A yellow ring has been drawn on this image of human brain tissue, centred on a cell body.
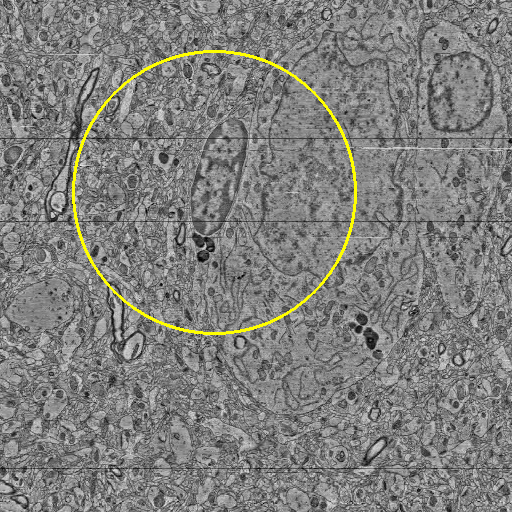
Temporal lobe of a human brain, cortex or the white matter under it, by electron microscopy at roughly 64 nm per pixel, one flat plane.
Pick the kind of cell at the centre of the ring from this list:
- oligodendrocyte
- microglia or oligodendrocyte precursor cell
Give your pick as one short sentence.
The centre of the ring holds a microglial cell or oligodendrocyte precursor cell.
